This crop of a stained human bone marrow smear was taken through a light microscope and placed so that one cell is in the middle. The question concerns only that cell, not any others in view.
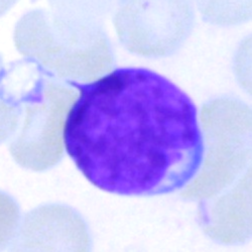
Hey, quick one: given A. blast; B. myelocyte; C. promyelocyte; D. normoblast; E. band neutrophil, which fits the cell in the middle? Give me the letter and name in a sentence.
The correct option here is A; the middle cell is a blast.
